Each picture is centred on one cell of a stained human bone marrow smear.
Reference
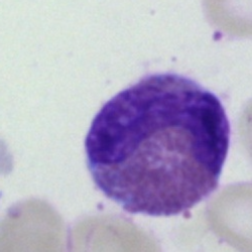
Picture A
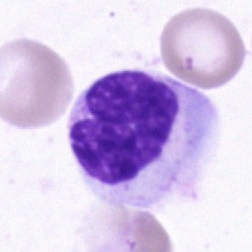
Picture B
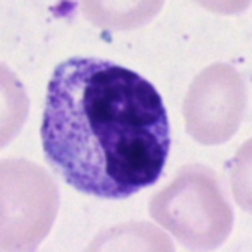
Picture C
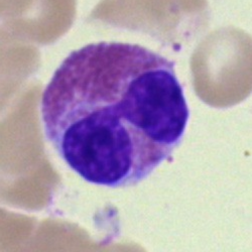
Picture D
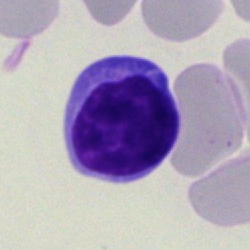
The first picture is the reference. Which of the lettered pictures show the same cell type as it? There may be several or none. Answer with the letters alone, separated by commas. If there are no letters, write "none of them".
C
